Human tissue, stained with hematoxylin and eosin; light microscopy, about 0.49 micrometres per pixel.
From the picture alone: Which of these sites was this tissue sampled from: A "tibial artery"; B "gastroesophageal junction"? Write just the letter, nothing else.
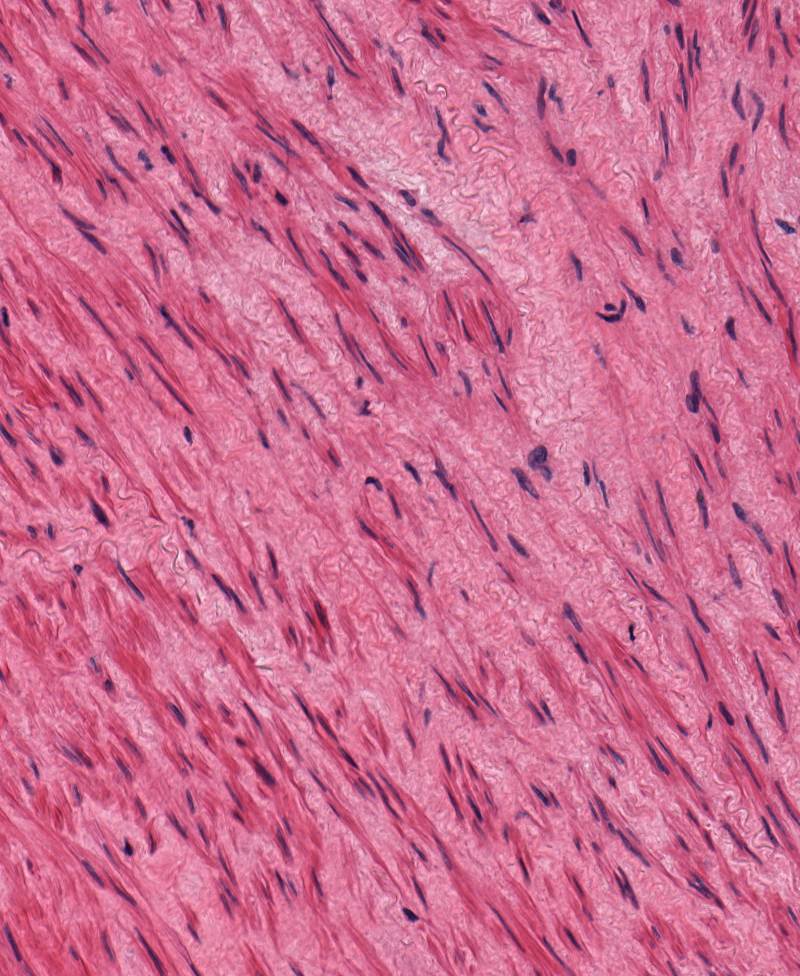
A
